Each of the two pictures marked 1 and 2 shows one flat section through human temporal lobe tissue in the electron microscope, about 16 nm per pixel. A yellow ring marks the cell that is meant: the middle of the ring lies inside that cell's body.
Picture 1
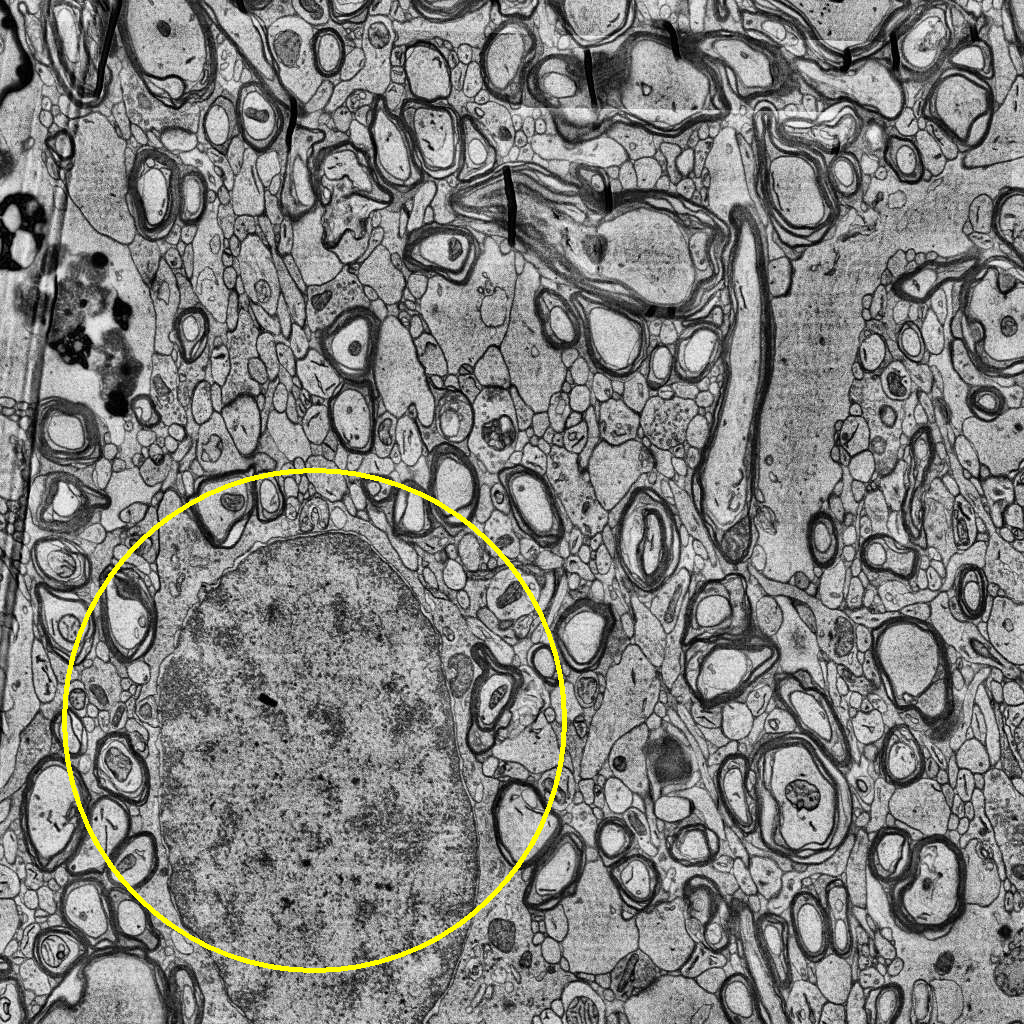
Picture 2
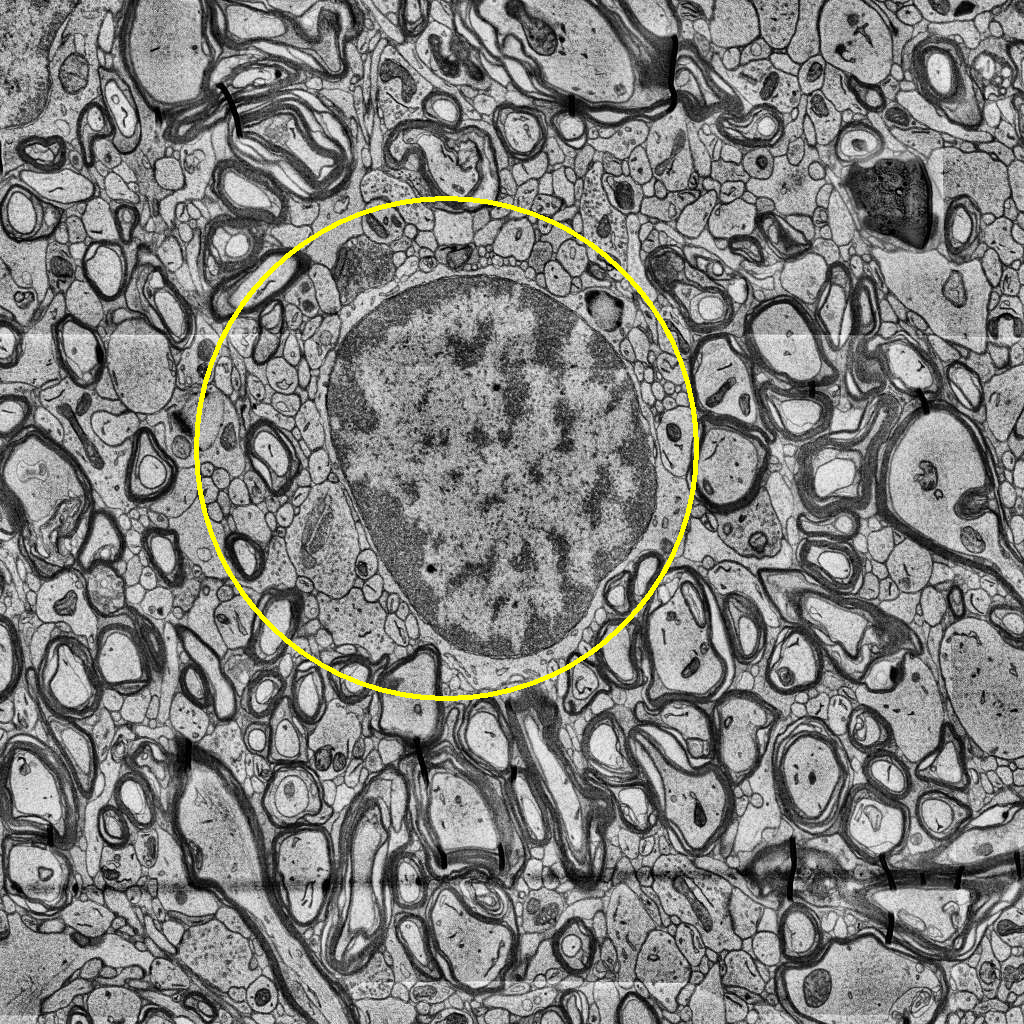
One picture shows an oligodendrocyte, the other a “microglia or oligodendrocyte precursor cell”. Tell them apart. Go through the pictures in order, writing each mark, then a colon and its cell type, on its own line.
1: oligodendrocyte
2: microglia or oligodendrocyte precursor cell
